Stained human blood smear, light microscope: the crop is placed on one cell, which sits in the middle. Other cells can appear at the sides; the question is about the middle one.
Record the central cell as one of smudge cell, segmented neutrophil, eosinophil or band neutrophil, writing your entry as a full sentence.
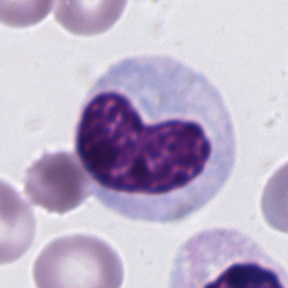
The cell featured at the centre of this crop is a band neutrophil.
